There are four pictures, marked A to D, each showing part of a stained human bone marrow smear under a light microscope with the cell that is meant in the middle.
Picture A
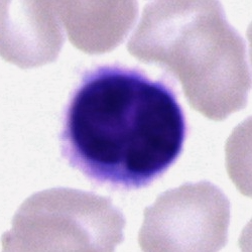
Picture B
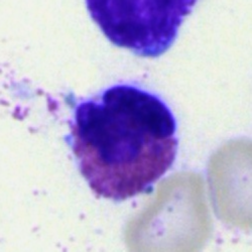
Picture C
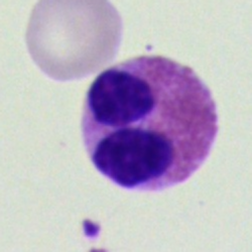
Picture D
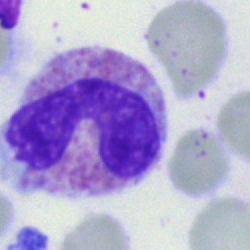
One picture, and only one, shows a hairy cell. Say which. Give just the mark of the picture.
A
